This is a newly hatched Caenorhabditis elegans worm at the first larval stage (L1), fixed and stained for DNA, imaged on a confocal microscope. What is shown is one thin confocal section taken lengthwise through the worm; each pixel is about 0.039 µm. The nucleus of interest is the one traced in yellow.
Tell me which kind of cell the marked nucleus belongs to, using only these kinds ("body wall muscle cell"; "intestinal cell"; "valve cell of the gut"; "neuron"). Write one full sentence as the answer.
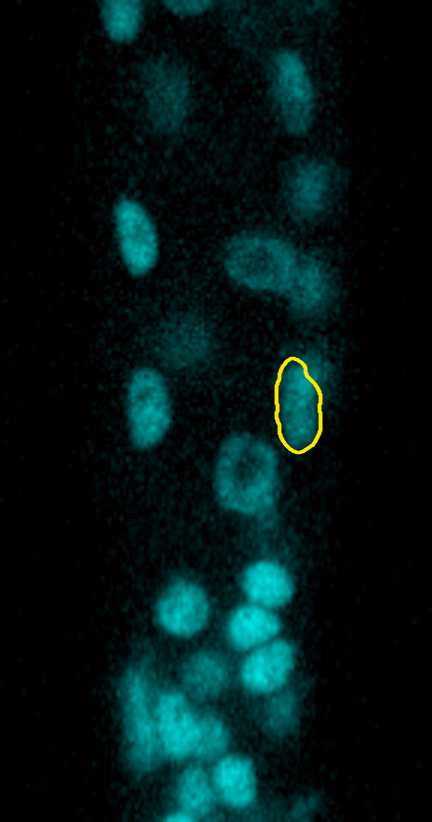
It is the nucleus of a body wall muscle cell.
